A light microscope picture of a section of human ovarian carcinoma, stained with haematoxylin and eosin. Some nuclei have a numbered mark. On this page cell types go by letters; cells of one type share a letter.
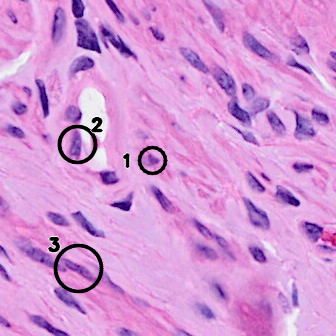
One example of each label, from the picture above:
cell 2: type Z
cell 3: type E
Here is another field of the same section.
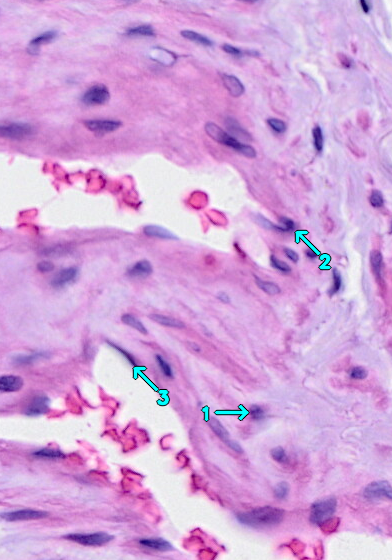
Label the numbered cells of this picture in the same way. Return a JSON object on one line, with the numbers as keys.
{"1": "type E", "2": "type Z", "3": "type Z"}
